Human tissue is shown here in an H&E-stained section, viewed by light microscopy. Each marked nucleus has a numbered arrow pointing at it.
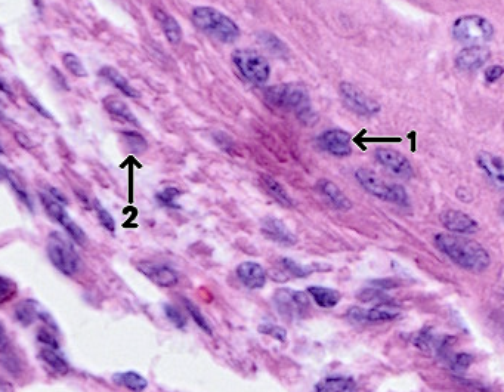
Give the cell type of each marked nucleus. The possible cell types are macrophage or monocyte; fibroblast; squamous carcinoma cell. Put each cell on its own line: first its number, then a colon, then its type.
1: squamous carcinoma cell
2: fibroblast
